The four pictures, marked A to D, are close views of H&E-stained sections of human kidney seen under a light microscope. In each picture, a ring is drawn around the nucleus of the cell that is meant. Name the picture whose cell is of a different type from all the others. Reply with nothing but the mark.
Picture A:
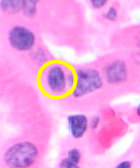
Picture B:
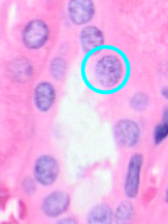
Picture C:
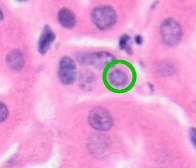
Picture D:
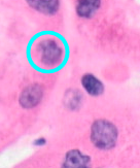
D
